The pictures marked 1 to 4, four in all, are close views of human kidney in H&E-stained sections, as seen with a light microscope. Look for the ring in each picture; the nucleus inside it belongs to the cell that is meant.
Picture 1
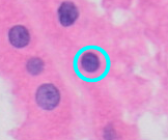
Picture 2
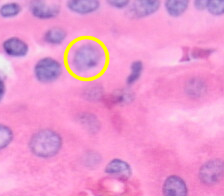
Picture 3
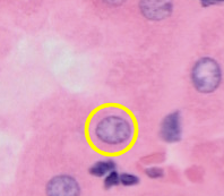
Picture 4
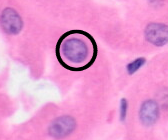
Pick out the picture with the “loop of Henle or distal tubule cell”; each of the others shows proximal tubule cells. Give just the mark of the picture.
2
